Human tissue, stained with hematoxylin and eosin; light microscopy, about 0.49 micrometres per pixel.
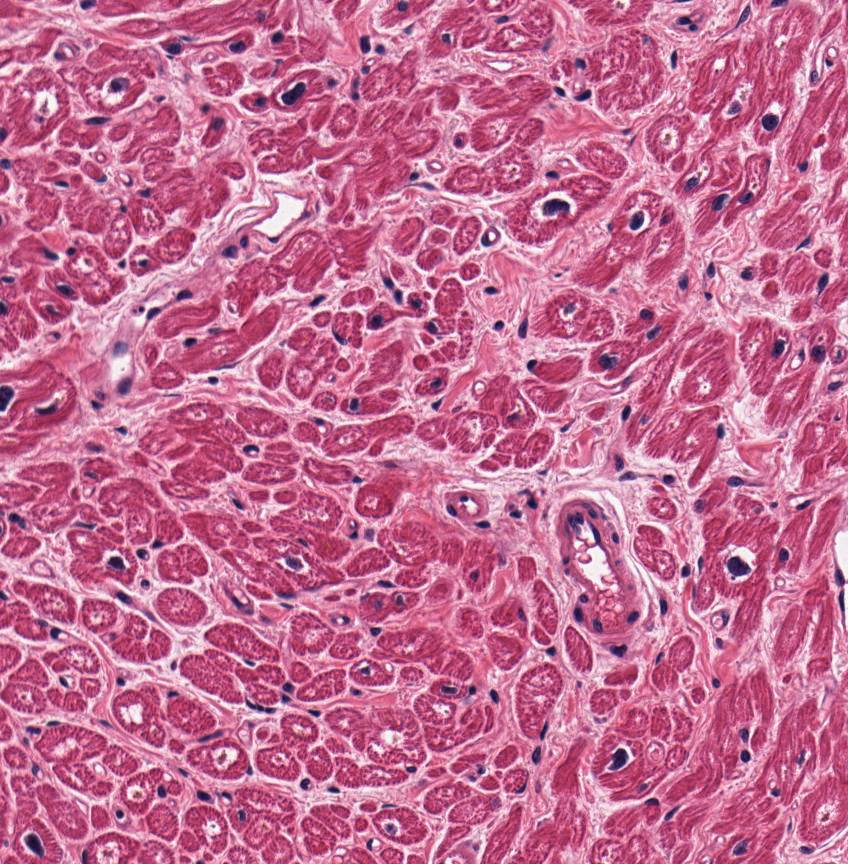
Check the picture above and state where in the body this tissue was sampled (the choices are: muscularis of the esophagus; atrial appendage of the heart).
atrial appendage of the heart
